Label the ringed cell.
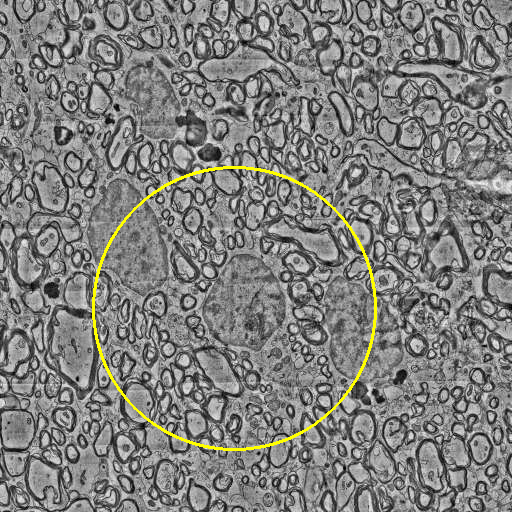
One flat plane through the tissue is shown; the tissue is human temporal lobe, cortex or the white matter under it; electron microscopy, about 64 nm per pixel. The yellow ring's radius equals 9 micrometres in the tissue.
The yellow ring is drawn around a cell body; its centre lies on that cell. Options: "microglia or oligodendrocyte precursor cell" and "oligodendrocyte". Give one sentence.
The ringed cell is an oligodendrocyte.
